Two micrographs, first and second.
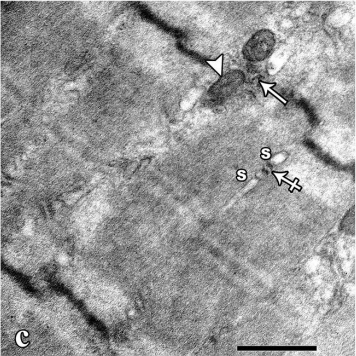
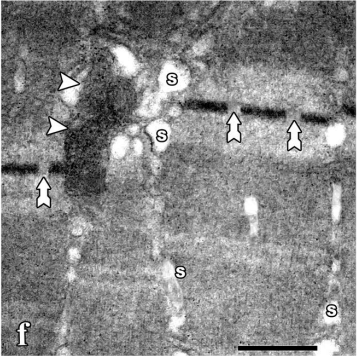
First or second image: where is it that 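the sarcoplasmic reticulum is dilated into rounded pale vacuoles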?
the second image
